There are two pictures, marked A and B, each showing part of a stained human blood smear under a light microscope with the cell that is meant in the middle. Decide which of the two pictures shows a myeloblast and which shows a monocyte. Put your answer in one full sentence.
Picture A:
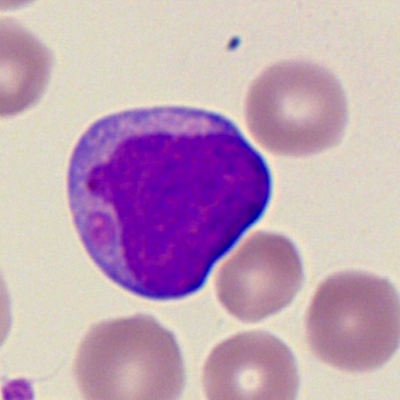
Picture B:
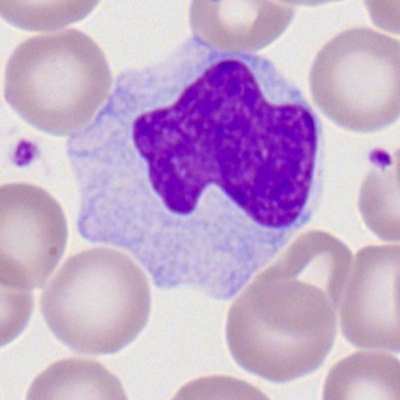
Picture A is of a myeloblast, and picture B is of a monocyte.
